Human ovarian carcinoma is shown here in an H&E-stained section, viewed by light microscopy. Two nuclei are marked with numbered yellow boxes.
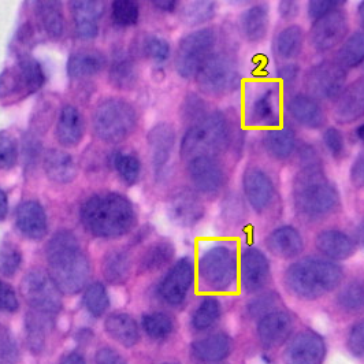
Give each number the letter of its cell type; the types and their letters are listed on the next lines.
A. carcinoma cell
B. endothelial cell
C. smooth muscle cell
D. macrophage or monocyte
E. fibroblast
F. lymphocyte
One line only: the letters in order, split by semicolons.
A; D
